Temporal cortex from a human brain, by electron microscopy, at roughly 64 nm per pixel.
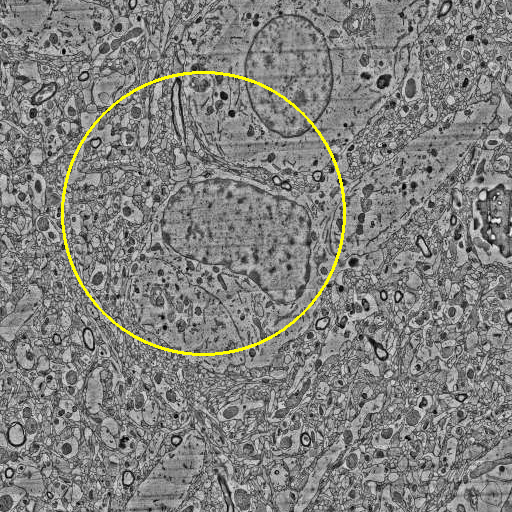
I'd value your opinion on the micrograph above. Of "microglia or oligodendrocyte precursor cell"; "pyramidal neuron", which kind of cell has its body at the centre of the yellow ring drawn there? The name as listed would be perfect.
microglia or oligodendrocyte precursor cell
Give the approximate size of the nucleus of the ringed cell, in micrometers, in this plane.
The nucleus is about 10 micrometres in length and 6 in width, clearly longer than it is wide in this plane.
